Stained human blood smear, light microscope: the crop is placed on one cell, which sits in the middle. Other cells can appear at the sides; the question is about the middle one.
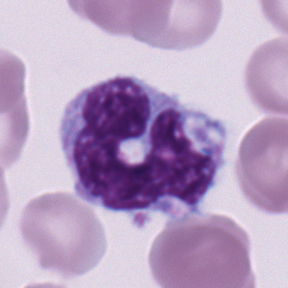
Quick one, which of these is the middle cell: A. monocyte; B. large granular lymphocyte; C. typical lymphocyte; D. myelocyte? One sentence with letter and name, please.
The correct option, A, names the middle cell as a monocyte.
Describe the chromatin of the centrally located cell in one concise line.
Take a look at the chromatin, which is coarsely clumped.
